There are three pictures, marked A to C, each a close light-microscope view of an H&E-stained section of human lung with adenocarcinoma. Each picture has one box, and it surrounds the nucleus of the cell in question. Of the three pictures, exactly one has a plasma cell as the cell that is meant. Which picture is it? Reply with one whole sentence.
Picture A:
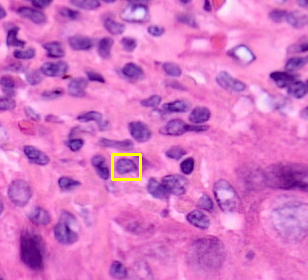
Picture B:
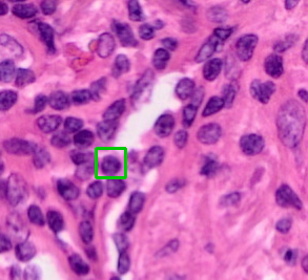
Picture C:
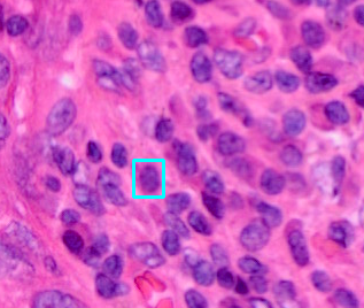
The cell in picture C is the plasma cell.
